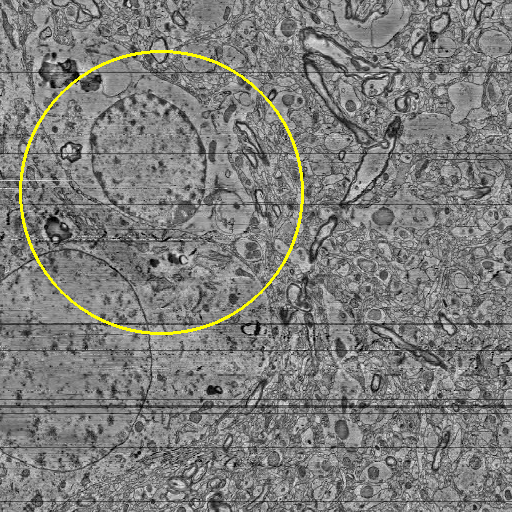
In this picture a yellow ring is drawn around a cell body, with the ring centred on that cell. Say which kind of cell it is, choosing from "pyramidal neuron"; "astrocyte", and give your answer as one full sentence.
Here it is an astrocyte that sits at the centre of the drawn yellow ring.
